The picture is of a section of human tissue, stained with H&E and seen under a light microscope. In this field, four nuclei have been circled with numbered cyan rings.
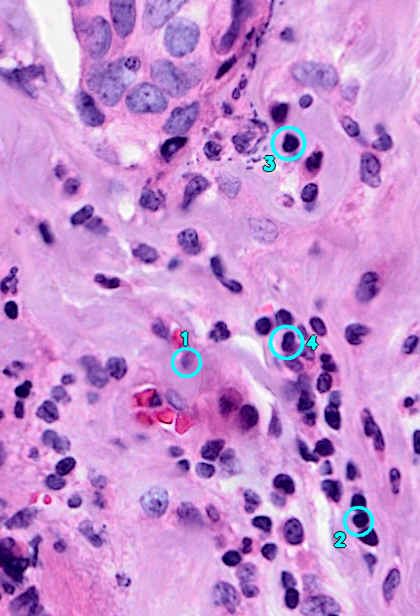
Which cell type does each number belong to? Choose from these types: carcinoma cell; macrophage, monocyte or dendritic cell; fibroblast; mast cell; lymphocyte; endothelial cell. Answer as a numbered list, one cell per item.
1. endothelial cell
2. lymphocyte
3. lymphocyte
4. lymphocyte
